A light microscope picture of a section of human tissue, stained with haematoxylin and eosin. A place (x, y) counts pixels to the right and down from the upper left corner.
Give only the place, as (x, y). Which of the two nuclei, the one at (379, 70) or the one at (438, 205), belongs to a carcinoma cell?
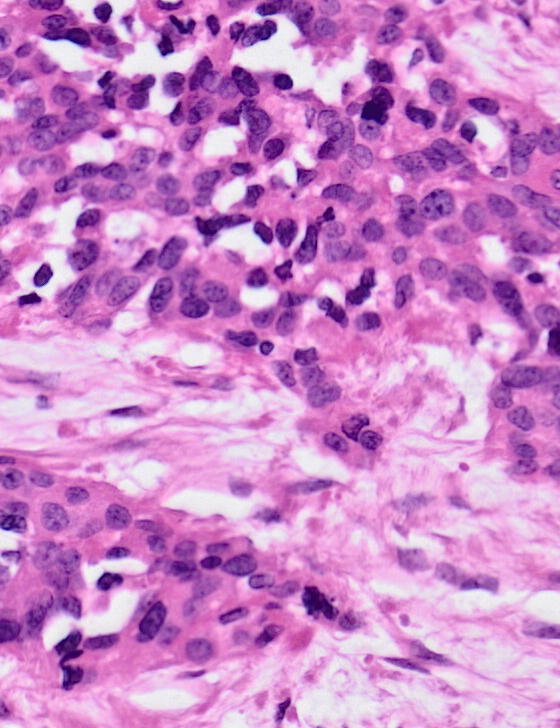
(379, 70)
